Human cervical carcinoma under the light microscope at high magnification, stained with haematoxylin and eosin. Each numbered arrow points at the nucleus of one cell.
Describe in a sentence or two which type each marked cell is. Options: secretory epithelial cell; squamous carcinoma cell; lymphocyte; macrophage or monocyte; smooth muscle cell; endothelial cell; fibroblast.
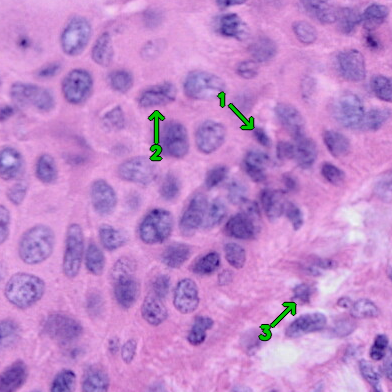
Cell 1 is a squamous carcinoma cell, cell 2 is a squamous carcinoma cell and cell 3 is a macrophage or monocyte.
